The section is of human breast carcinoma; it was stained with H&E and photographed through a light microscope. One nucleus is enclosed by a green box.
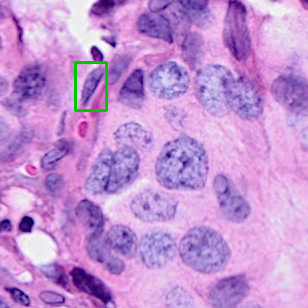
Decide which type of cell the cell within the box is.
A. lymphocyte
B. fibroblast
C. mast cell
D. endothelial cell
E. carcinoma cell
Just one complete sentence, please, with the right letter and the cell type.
Option D describes the cell within the box accurately as an endothelial cell.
